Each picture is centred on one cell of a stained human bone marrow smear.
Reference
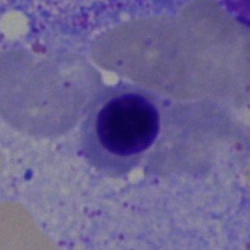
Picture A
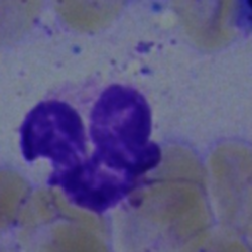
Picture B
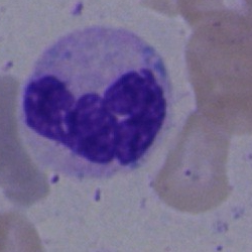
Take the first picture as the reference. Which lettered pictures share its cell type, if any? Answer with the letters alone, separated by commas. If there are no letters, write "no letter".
no letter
